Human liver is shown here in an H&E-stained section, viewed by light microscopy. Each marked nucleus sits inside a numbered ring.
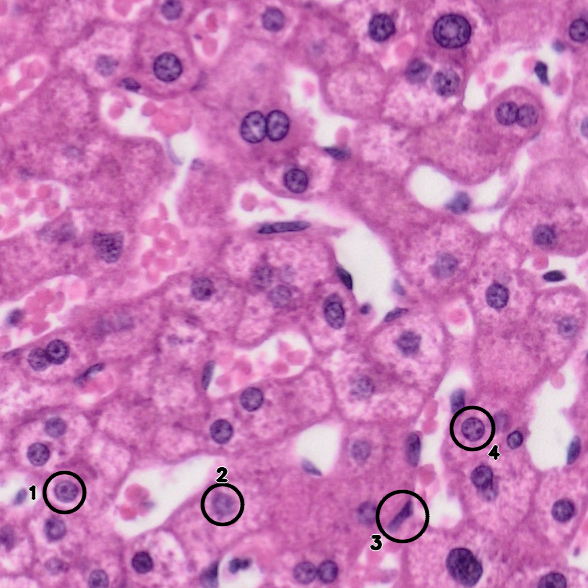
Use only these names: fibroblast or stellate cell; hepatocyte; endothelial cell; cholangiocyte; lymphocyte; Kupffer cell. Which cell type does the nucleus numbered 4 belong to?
hepatocyte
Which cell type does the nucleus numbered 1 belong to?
hepatocyte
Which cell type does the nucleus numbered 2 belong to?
hepatocyte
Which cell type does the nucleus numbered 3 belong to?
fibroblast or stellate cell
